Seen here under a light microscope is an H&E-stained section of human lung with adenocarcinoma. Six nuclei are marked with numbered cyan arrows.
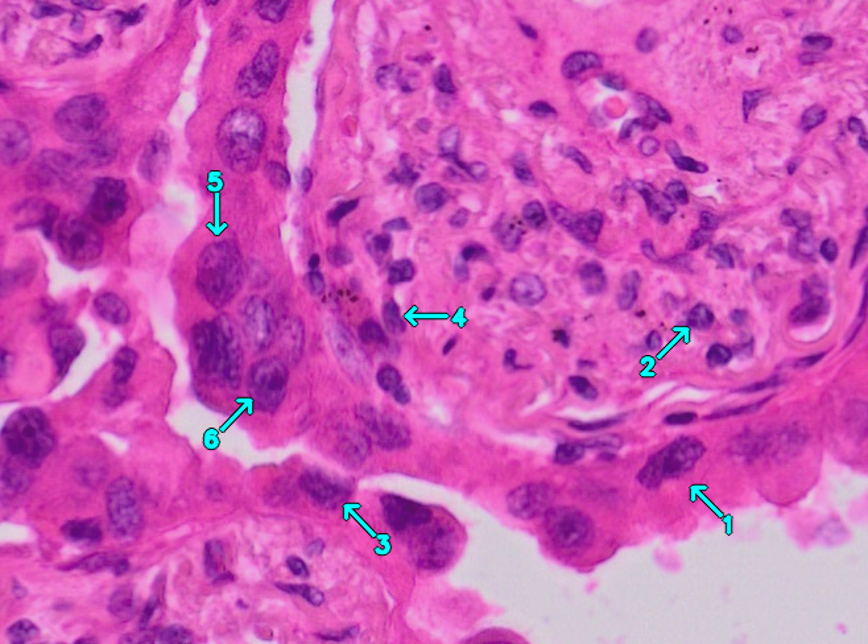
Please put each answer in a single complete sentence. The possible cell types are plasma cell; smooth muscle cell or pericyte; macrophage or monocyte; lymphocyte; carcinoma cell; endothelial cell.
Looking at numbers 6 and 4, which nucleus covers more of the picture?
Nucleus 6 is larger, with an area about 2.5 times that of nucleus 4.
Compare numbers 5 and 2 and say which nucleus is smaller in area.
It is nucleus 2; nucleus 5 has about 4 times its area.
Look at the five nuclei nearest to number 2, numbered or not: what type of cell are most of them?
The majority of the five nuclei closest to number 2 belong to lymphocytes.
